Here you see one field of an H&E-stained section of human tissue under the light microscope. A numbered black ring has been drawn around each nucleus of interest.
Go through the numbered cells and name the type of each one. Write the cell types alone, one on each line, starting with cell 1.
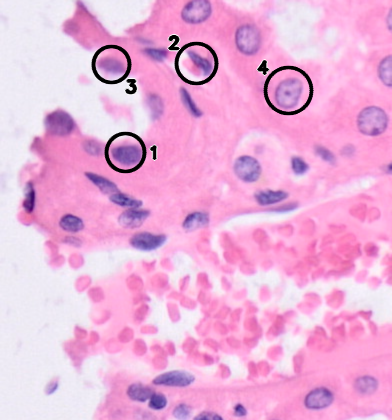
loop of Henle or distal tubule cell
endothelial cell
loop of Henle or distal tubule cell
proximal tubule cell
